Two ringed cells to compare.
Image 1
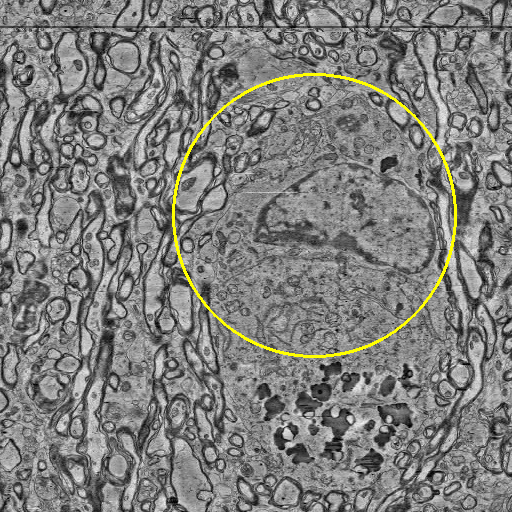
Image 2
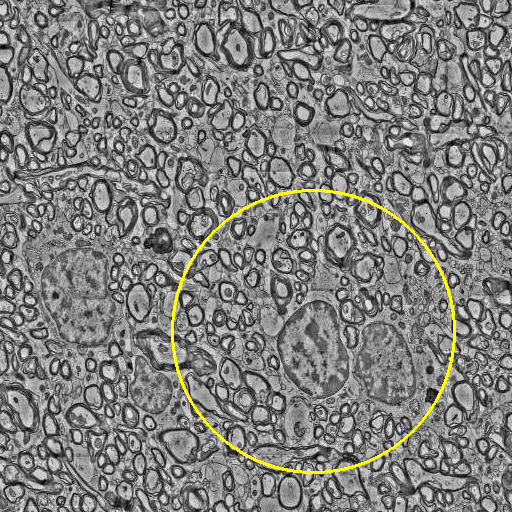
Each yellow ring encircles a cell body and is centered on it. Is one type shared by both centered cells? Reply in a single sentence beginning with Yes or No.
Yes, a single type is shared by the two cells at the centers of the rings.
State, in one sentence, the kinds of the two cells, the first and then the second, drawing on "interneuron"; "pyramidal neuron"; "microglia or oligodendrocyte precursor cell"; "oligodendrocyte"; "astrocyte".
Each one of the two ringed cells is a microglial cell or oligodendrocyte precursor cell.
